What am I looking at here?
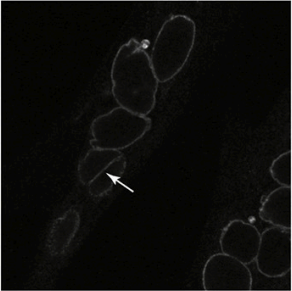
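This shows a chain of nuclei within myotubes, each outlined by a thin bright rim. The nuclei are oval and packed closely end to end along the cell. In one nucleus a thin rim line extends into the interior, an inward fold of the nuclear envelope. Faint speckled staining lies in the surrounding cytoplasm.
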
